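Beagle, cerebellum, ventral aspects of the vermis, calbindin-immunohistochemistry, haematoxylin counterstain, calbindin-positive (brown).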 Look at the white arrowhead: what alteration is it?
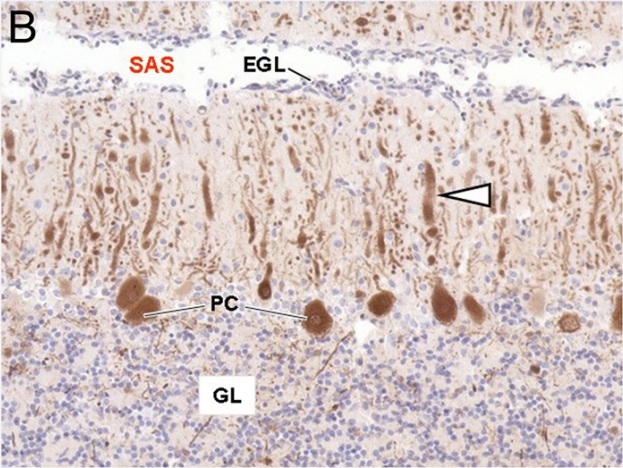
Dystrophic dendrites.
